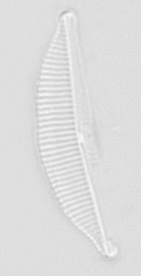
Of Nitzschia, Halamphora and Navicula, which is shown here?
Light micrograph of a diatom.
Halamphora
